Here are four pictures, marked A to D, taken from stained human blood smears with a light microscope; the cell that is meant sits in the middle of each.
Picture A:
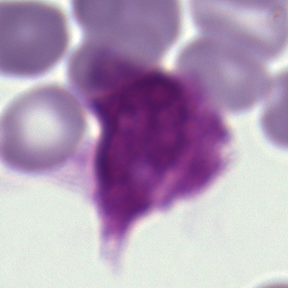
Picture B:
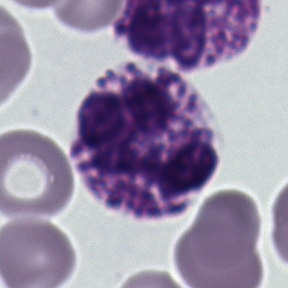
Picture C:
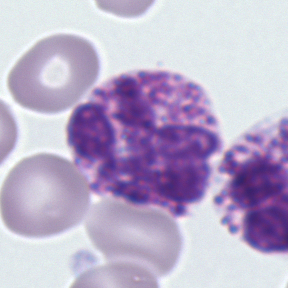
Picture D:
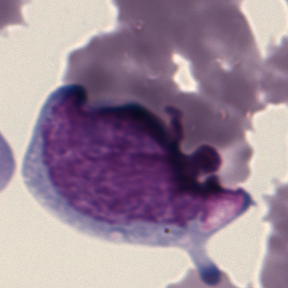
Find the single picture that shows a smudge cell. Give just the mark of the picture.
A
